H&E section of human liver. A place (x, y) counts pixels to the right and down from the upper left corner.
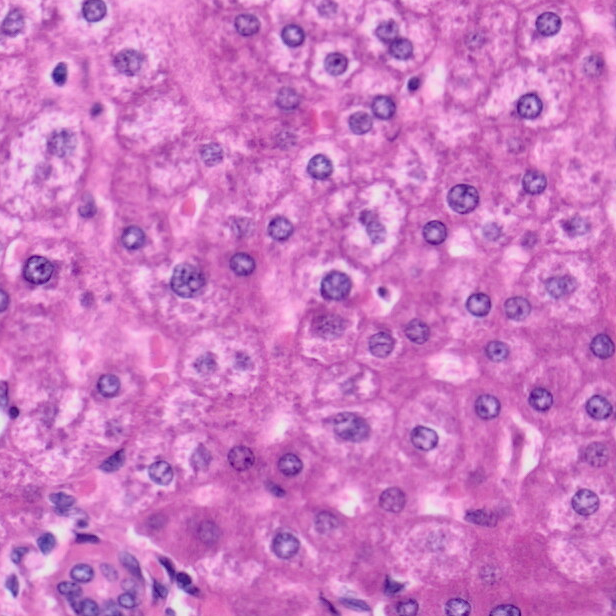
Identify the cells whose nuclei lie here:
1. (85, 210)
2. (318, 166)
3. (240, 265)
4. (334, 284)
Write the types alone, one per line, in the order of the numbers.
Kupffer cell
hepatocyte
hepatocyte
hepatocyte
